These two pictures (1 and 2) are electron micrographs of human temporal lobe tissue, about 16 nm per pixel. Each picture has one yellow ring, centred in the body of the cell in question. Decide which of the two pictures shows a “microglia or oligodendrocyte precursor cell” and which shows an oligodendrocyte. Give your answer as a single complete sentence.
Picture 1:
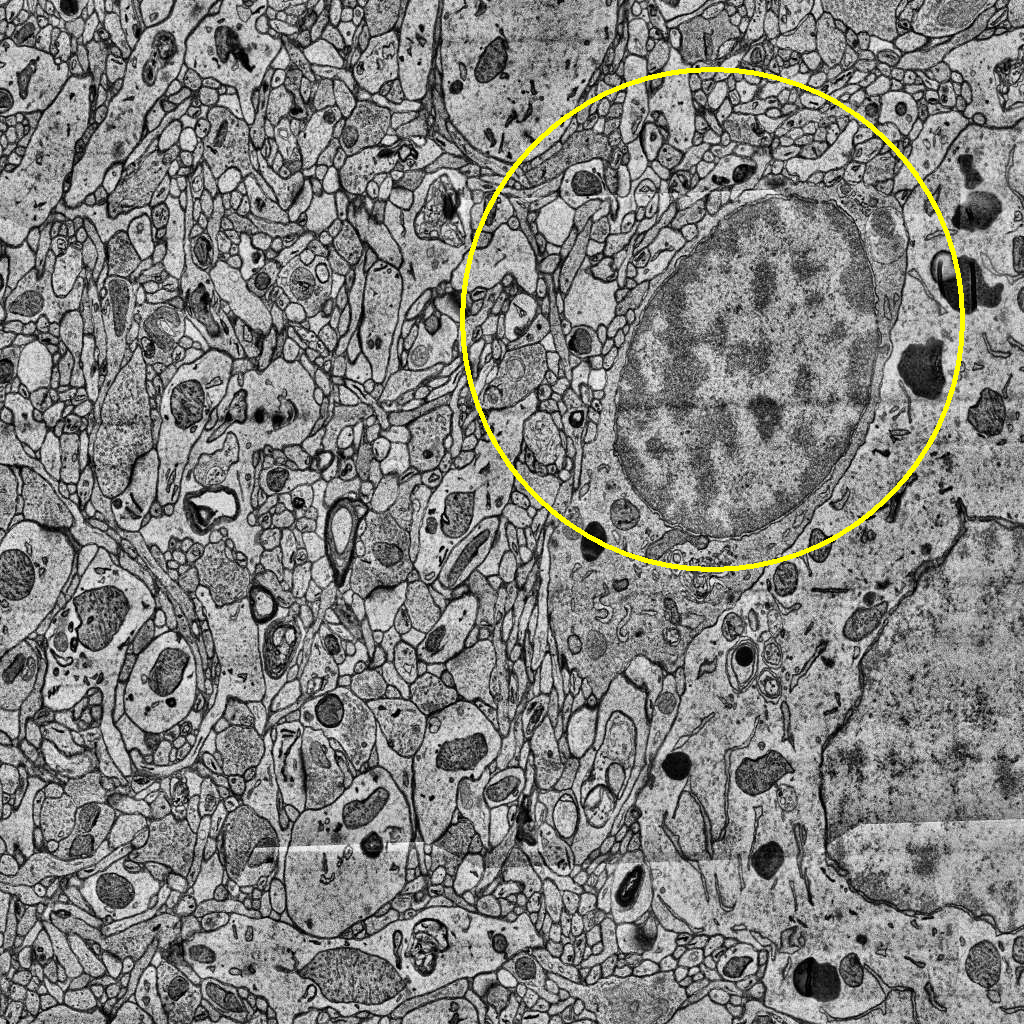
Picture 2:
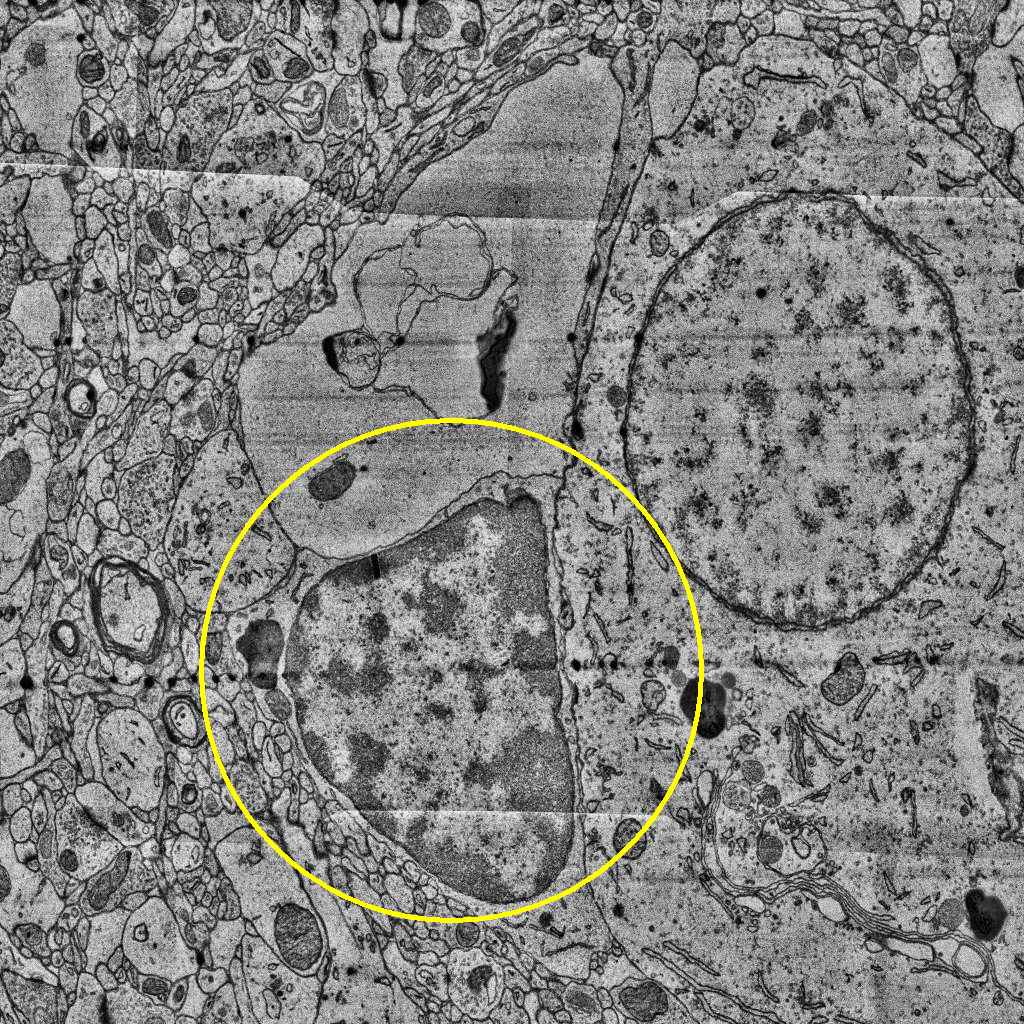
Picture 1 is of an oligodendrocyte, and picture 2 is of a “microglia or oligodendrocyte precursor cell”.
